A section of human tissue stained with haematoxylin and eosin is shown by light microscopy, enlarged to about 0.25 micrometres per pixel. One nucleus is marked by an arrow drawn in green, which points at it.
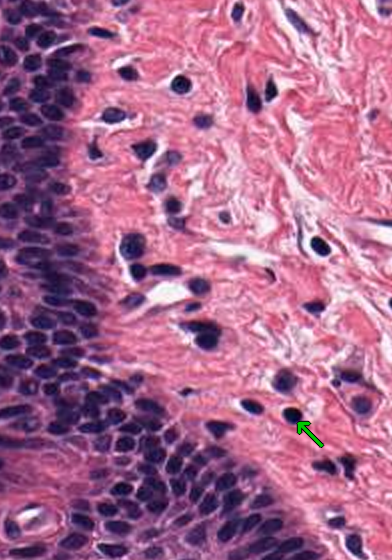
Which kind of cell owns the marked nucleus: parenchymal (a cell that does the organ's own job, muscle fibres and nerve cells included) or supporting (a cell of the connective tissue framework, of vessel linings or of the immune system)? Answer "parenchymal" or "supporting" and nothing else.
supporting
